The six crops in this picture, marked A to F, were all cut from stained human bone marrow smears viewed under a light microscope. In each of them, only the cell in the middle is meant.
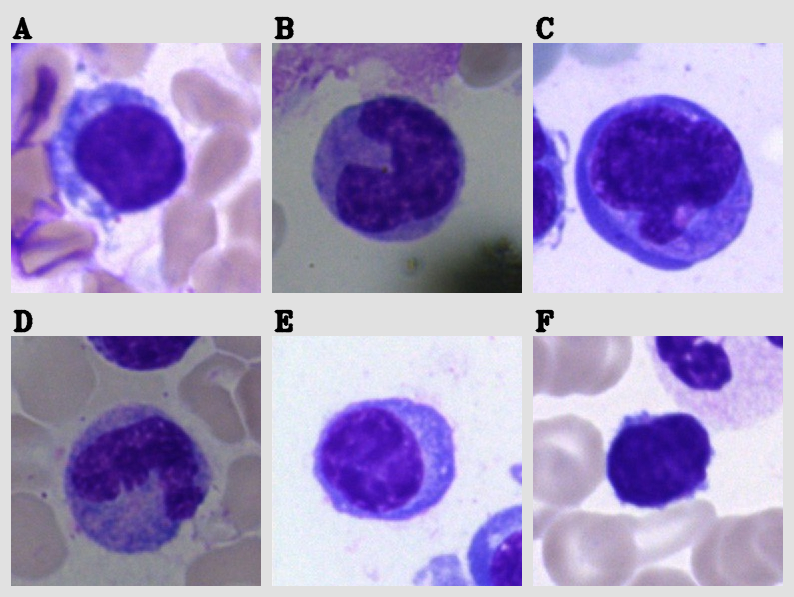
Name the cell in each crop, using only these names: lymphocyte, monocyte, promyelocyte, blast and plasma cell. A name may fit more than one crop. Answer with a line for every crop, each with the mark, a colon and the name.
A: lymphocyte
B: monocyte
C: blast
D: monocyte
E: plasma cell
F: lymphocyte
